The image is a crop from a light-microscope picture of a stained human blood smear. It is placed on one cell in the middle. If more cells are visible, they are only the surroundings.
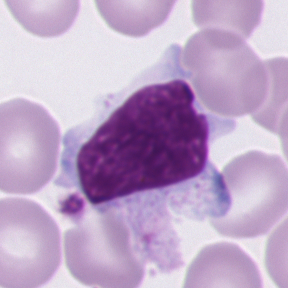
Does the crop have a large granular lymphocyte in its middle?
yes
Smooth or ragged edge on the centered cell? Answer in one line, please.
An irregular outline, ragged or marked by projections, surrounds this cell.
